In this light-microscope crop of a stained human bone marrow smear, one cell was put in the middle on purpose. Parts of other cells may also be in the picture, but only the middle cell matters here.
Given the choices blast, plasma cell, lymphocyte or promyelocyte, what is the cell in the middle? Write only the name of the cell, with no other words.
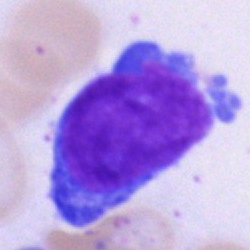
blast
